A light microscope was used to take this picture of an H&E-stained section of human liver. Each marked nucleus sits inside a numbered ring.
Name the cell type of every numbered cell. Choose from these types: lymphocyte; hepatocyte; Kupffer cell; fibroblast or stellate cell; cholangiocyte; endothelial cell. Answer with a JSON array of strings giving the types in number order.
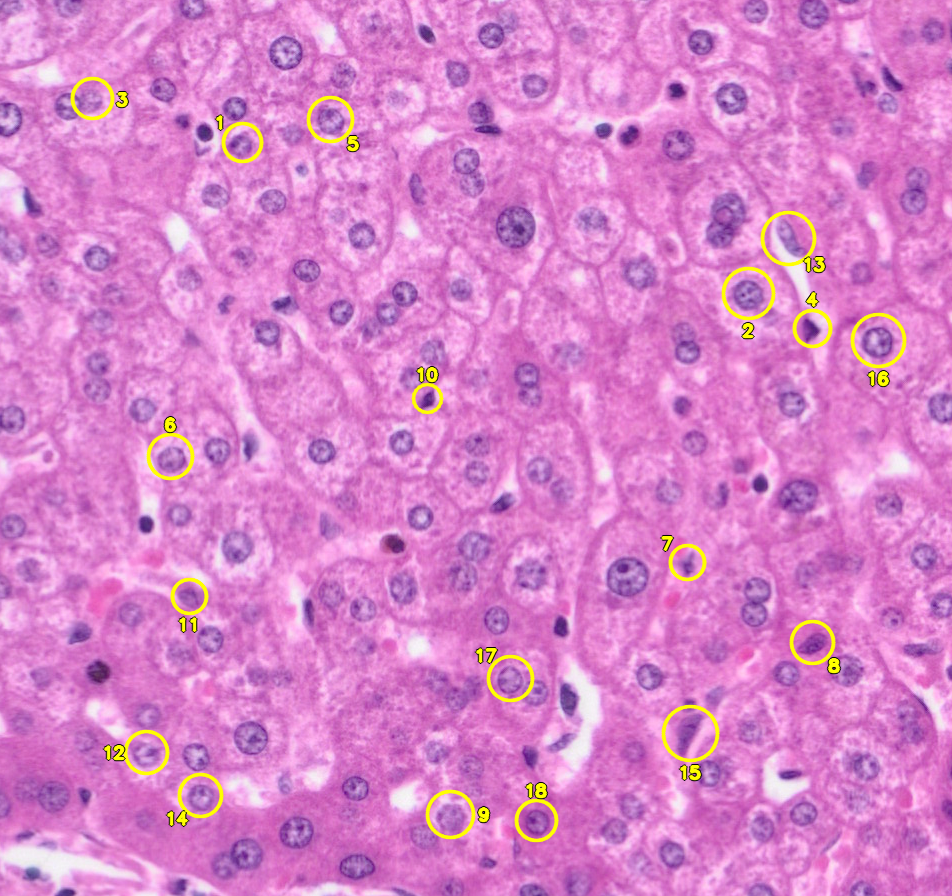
["hepatocyte", "hepatocyte", "cholangiocyte", "endothelial cell", "hepatocyte", "hepatocyte", "endothelial cell", "fibroblast or stellate cell", "hepatocyte", "fibroblast or stellate cell", "Kupffer cell", "hepatocyte", "Kupffer cell", "hepatocyte", "Kupffer cell", "hepatocyte", "hepatocyte", "hepatocyte"]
